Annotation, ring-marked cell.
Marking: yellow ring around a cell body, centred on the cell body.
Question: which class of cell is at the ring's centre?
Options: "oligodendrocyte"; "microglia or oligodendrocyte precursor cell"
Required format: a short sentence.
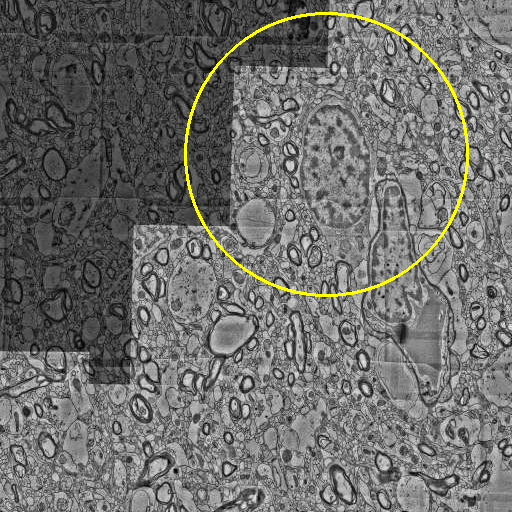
At the ring's centre is an oligodendrocyte.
